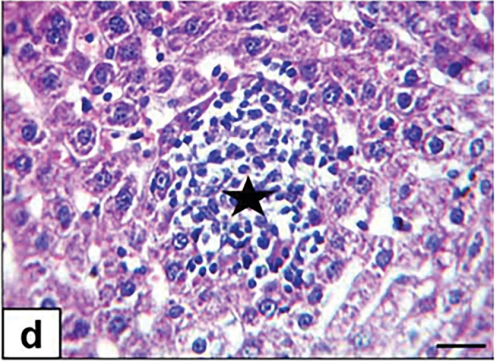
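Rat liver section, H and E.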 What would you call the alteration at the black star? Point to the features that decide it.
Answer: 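The star lies in a focus of densely packed small round dark nuclei. The focus interrupts the surrounding hepatocyte cords. Hepatocytes are lacking within the focus. The answer: hepatocellular necrosis with mononuclear cell infiltrations.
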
